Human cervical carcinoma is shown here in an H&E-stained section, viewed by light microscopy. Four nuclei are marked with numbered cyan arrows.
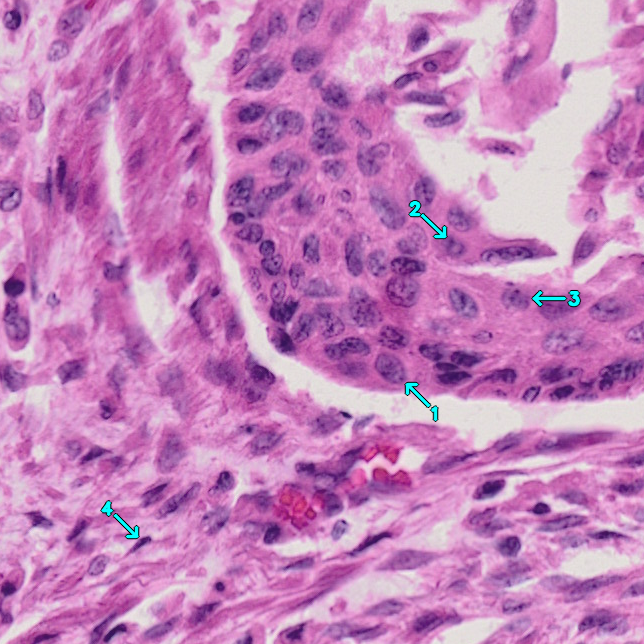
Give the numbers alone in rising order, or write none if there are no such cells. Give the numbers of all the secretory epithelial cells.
none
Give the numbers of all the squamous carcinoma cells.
1, 2, 3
